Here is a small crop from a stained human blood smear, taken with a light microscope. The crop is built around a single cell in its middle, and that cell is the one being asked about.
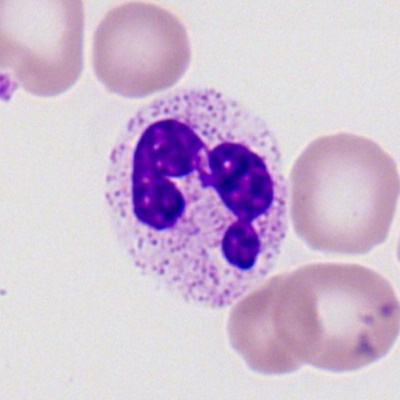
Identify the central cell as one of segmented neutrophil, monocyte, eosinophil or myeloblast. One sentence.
As for the central cell, it is a segmented neutrophil.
